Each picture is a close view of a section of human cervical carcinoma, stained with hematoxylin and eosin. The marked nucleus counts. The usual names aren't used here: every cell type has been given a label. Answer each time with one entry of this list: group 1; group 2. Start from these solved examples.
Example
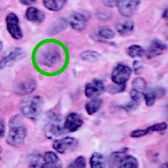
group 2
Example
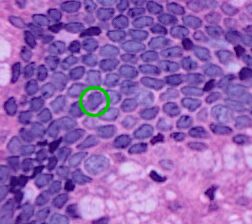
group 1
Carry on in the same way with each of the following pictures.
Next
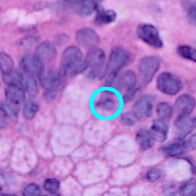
group 1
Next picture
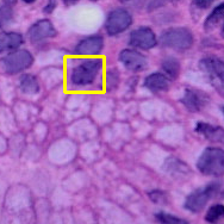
group 1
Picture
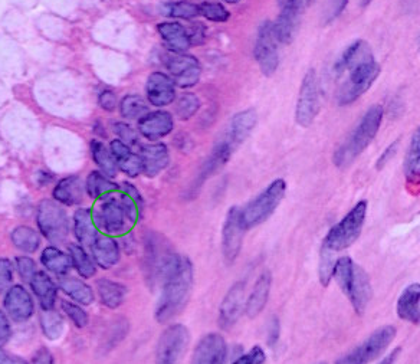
group 1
